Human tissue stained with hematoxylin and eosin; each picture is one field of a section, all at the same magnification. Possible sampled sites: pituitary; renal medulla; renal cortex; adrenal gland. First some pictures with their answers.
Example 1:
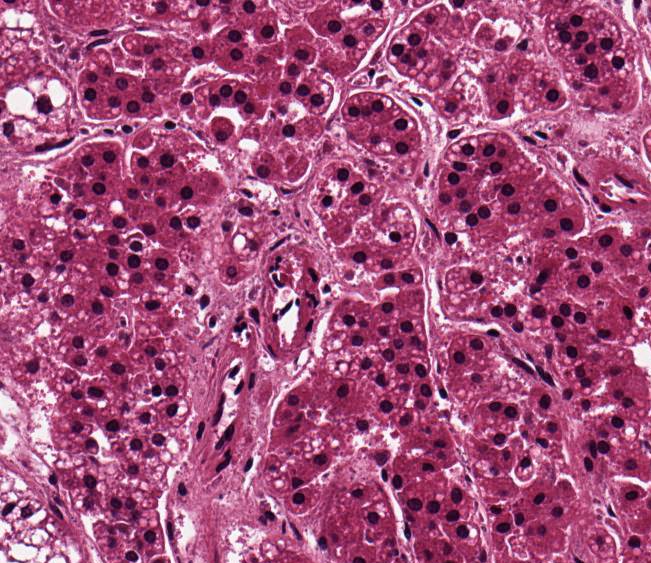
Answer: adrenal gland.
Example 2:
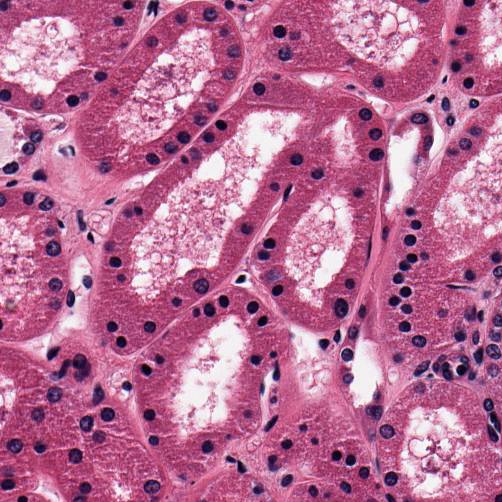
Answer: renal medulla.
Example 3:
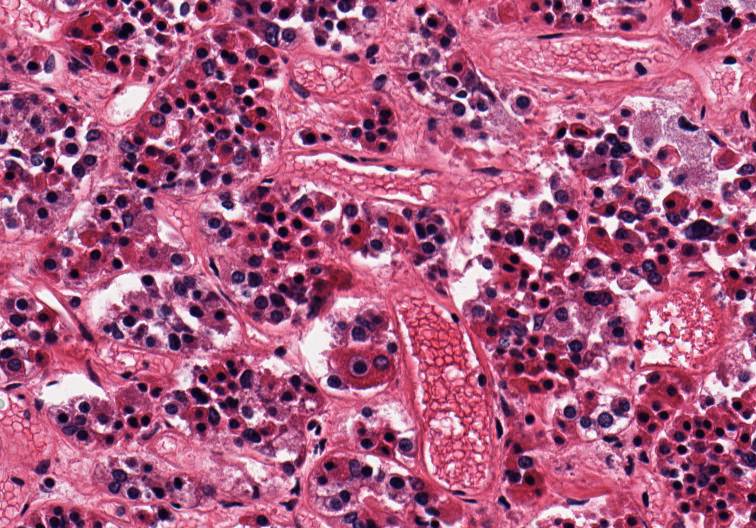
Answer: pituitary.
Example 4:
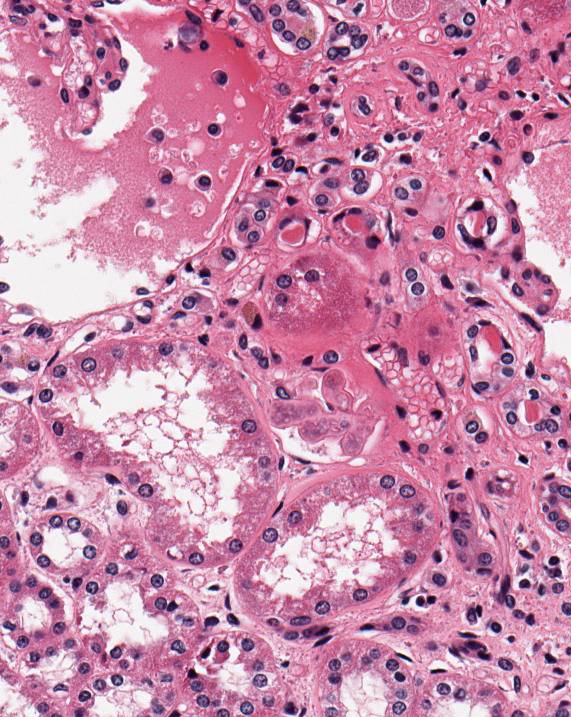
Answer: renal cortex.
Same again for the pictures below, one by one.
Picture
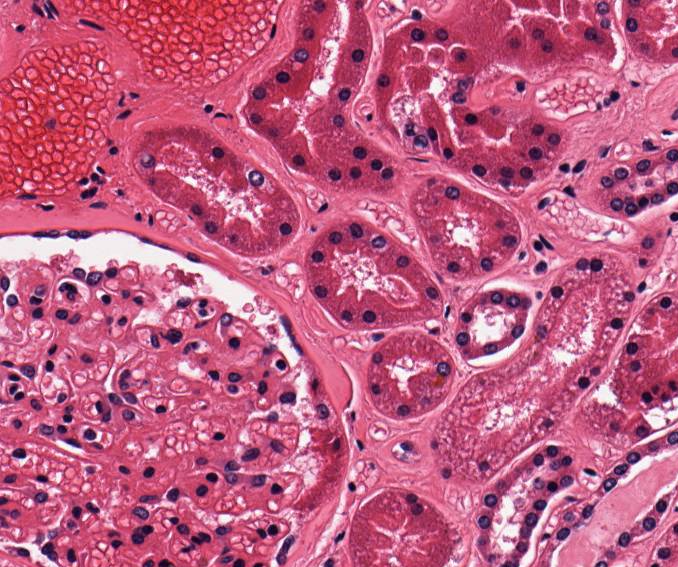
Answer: renal cortex.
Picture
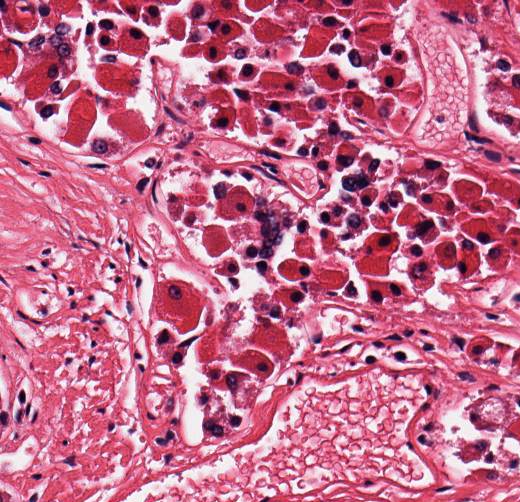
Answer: pituitary.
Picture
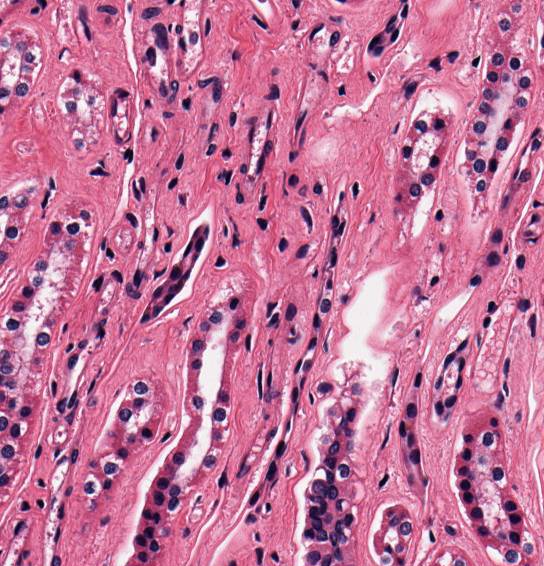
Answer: renal medulla.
